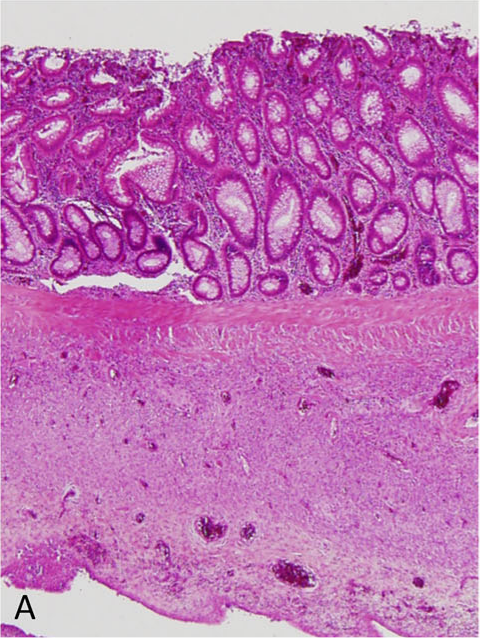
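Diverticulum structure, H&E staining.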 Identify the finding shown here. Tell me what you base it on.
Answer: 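Spindle cell proliferation replacing the muscularis propria. A band of mucosa with closely packed glands runs along the top. Scattered small vessels filled with blood lie within the pale band.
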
